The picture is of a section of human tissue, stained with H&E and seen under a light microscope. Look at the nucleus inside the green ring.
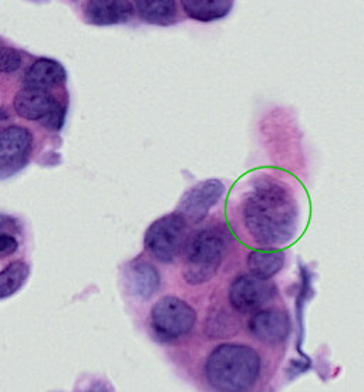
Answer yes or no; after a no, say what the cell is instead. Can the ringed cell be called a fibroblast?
No, it is a carcinoma cell.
